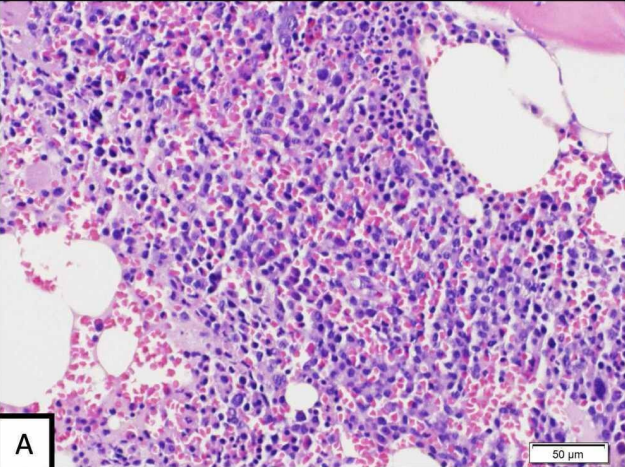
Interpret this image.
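This is a bone marrow core in which hematopoietic cells pack the space between a few rounded fat vacuoles, so the marrow is much more cellular than fat. The cell population is mixed, with small dark round nuclei, red blood cells in loose pools, and scattered larger cells with more cytoplasm. Many of the cells are small with round, eccentrically placed nuclei and a rim of purple-pink cytoplasm, in keeping with mature plasma cells. At the edges a few large cells with abundant pink cytoplasm are seen, and a strip of pink bony trabecula lies at the upper right.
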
